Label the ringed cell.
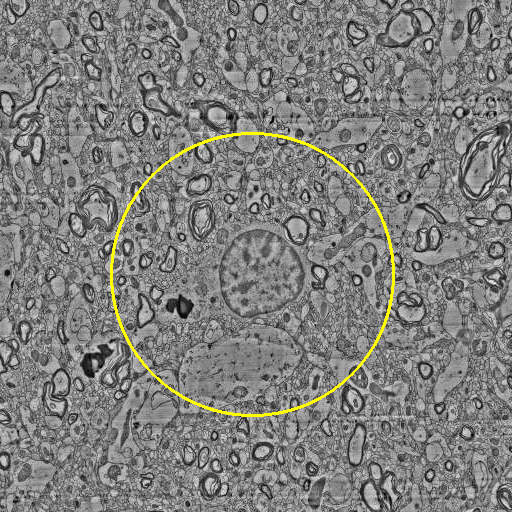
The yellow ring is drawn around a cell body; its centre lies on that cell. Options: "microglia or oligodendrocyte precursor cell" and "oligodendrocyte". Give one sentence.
The ringed cell is an oligodendrocyte.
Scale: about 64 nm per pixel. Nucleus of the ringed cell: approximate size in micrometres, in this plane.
About 5 micrometres across, as seen in this plane.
